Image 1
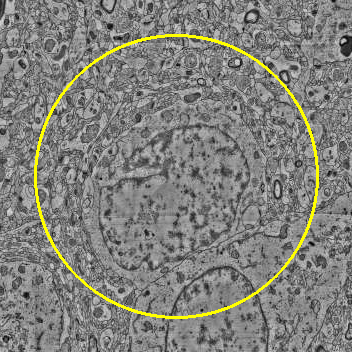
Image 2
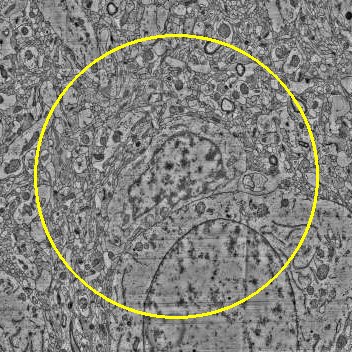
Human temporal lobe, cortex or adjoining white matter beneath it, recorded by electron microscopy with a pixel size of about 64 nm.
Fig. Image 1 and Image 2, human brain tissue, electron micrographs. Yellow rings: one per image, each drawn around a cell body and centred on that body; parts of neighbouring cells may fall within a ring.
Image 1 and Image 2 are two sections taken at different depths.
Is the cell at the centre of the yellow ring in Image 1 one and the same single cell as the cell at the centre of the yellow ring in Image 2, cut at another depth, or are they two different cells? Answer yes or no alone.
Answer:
yes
